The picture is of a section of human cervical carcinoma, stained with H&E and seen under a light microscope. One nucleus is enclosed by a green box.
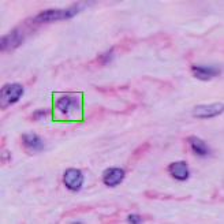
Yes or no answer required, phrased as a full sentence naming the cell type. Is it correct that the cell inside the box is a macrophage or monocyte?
No, the identity of the cell inside the box is a smooth muscle cell, not a macrophage or monocyte.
